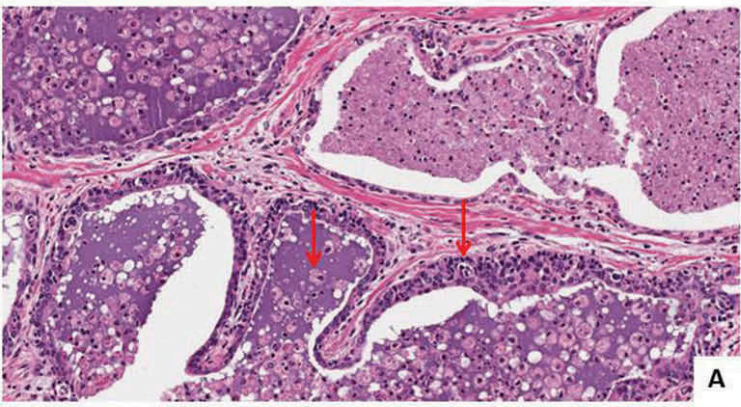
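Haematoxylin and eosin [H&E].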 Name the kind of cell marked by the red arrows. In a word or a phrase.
Neutrophil granulocytes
